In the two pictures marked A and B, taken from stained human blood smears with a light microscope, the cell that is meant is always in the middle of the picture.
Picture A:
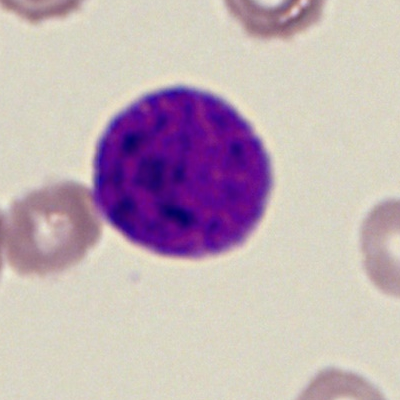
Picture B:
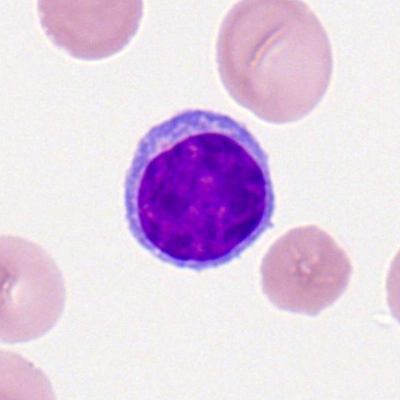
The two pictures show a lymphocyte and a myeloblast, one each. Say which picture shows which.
A: myeloblast
B: lymphocyte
